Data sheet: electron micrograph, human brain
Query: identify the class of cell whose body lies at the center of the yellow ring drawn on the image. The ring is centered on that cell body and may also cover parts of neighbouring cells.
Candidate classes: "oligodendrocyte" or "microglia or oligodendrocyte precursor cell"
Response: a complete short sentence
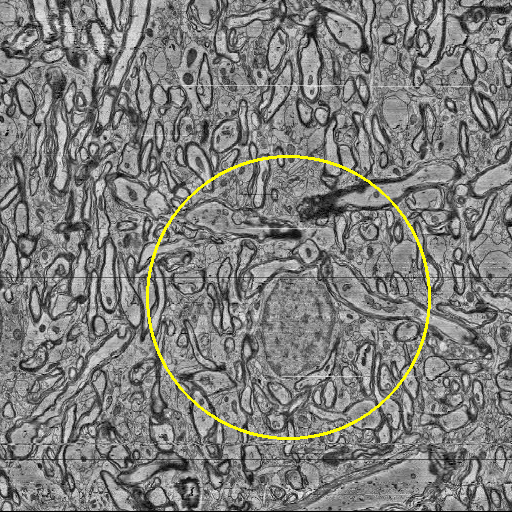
At the center of the ring lies an oligodendrocyte.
